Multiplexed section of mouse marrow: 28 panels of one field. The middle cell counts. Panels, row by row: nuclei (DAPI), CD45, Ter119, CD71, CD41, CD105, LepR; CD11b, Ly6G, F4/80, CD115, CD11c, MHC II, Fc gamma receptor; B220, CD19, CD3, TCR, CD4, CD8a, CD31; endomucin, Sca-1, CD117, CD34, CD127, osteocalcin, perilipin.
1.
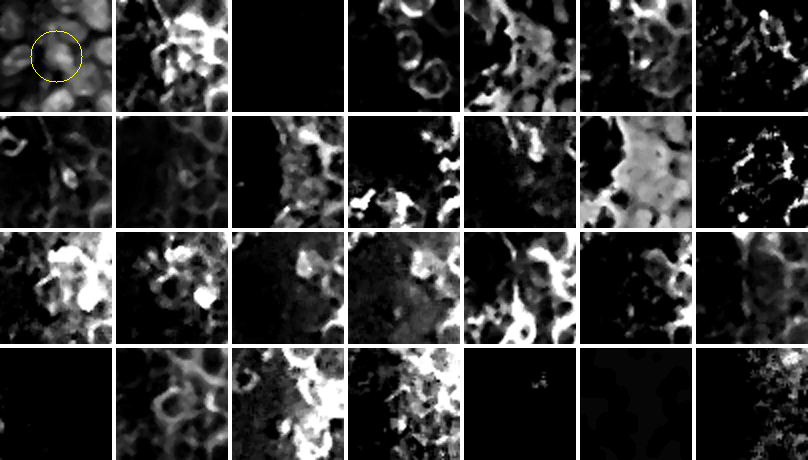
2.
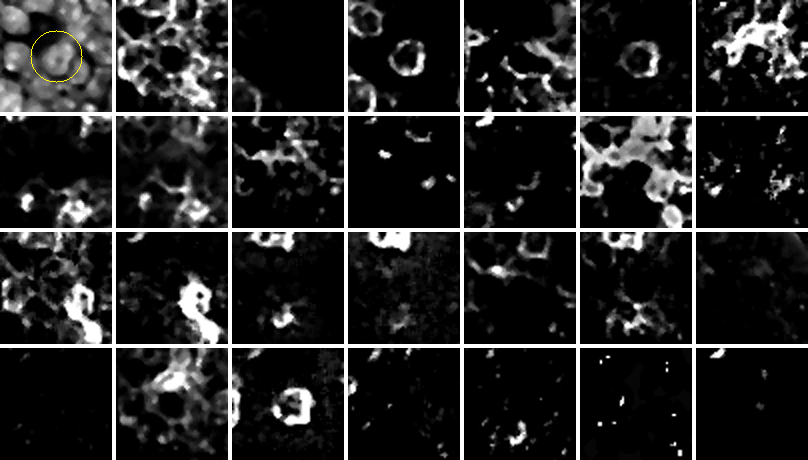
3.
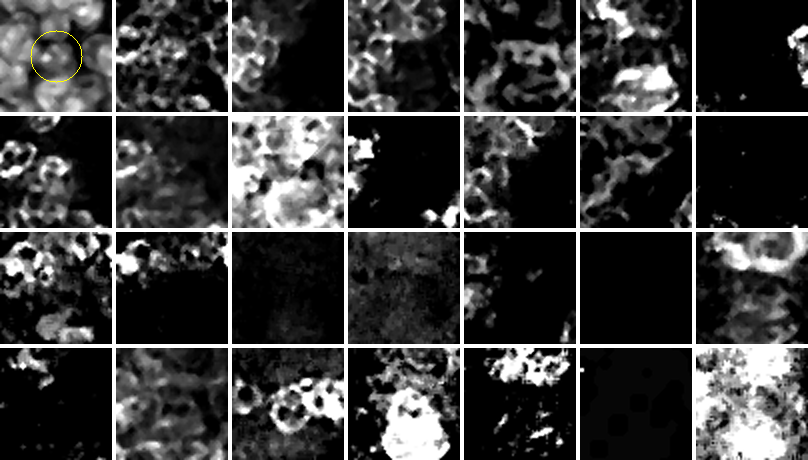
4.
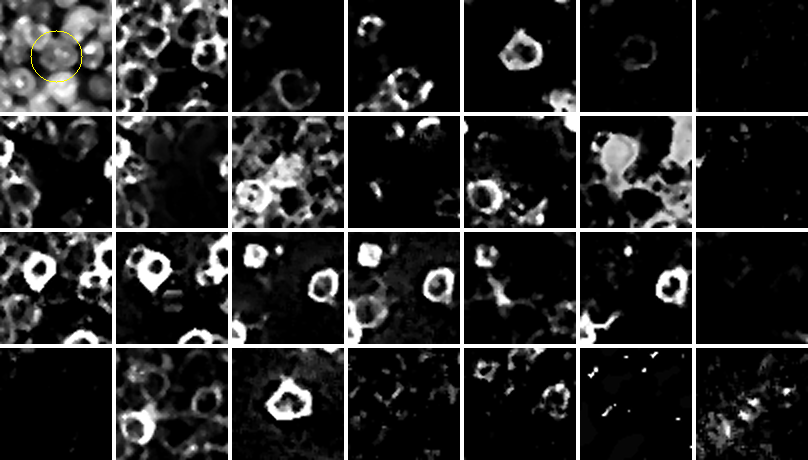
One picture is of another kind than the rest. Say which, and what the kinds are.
Picture 4 shows a megakaryocyte progenitor; the rest show erythroid progenitors (CFU-E).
